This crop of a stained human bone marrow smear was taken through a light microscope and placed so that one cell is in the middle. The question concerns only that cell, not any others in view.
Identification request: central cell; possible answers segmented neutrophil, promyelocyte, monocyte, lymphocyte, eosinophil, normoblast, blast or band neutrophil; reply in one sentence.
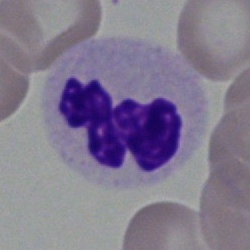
The cell featured at the centre of this crop is a segmented neutrophil.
